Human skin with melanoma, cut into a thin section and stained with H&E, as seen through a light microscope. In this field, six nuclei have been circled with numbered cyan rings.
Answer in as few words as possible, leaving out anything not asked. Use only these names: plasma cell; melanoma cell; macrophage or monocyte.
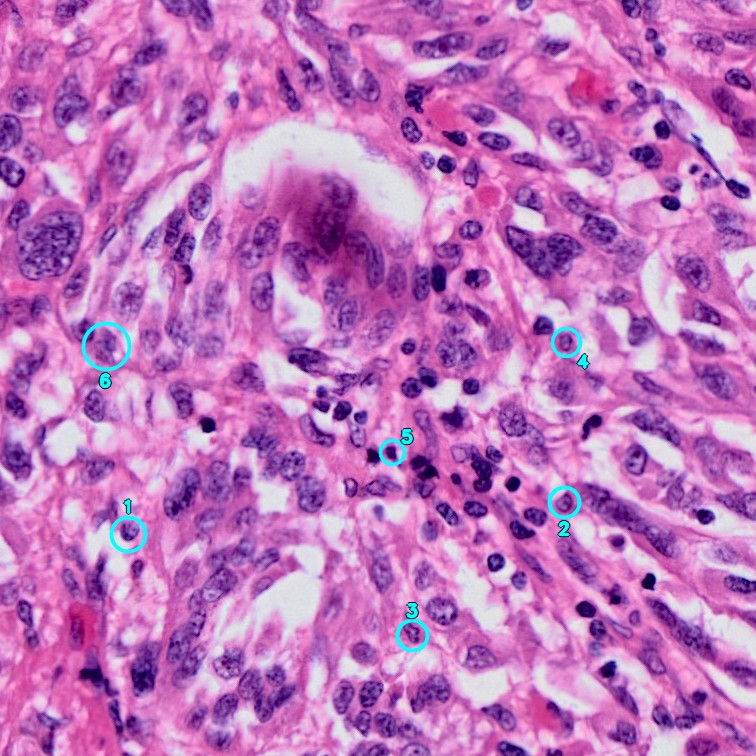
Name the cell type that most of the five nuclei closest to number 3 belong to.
melanoma cell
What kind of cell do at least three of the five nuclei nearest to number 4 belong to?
melanoma cell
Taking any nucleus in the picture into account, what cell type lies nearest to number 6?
melanoma cell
